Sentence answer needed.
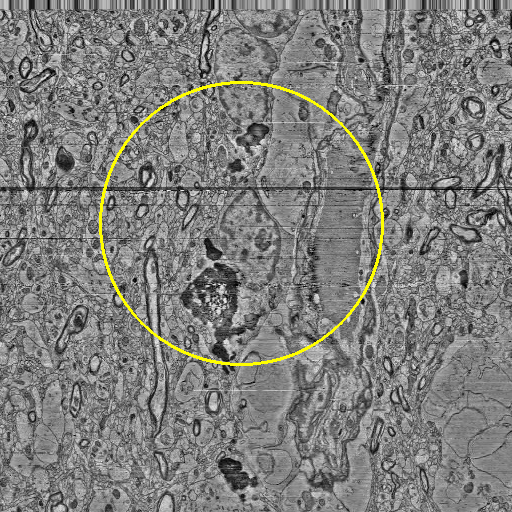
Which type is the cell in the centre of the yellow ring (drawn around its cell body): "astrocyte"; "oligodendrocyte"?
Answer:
In the centre of the yellow ring is an oligodendrocyte.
